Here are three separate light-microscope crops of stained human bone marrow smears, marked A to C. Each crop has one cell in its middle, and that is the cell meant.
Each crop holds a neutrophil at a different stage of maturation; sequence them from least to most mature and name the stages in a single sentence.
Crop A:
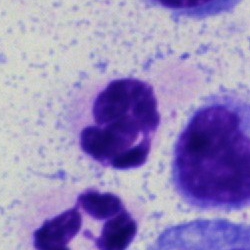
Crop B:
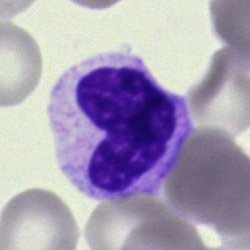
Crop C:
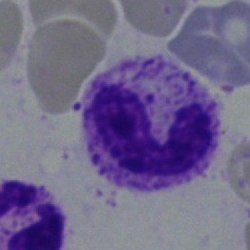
Least to most mature, the crops are crop B (a metamyelocyte), crop C (a band neutrophil) and crop A (a segmented neutrophil).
